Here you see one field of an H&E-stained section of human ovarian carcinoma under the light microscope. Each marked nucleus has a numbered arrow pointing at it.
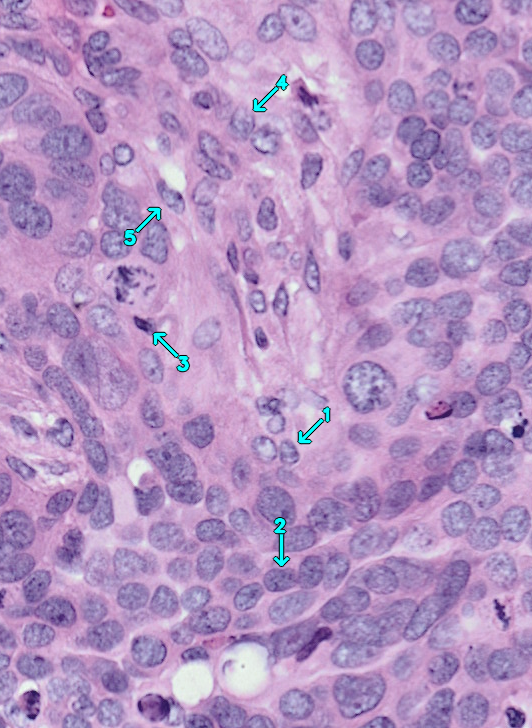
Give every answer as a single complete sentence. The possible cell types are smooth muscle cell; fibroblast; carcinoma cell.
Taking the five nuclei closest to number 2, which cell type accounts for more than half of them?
Of the five nuclei nearest to number 2, most belong to carcinoma cells.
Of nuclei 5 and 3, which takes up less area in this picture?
With nucleus 5 about 1.5 times its size, nucleus 3 is the smaller of the two.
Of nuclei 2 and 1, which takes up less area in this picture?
Nucleus 1 is the smaller one; nucleus 2 covers about 1.5 times its area.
